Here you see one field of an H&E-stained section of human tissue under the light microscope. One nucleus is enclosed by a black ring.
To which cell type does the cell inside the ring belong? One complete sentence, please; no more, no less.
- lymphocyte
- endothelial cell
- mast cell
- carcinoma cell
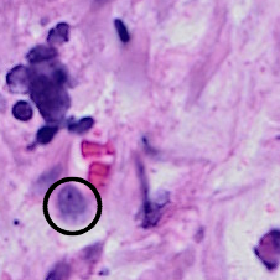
The cell type of the cell inside the ring is that of an endothelial cell.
